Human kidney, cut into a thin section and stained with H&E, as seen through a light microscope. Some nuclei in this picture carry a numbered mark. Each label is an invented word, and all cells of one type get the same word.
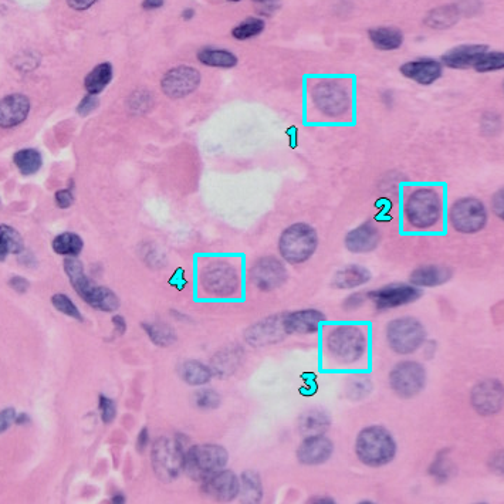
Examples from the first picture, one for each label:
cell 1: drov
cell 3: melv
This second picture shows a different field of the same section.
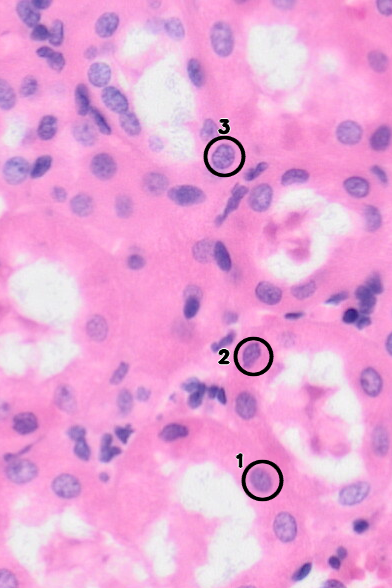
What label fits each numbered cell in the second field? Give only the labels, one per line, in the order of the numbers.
drov
drov
melv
